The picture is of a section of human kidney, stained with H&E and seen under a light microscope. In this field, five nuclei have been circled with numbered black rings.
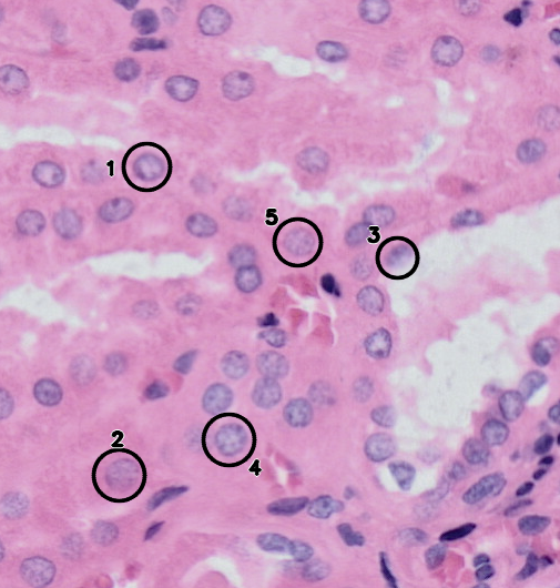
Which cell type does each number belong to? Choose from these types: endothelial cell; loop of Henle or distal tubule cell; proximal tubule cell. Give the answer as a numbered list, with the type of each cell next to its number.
1. proximal tubule cell
2. proximal tubule cell
3. loop of Henle or distal tubule cell
4. loop of Henle or distal tubule cell
5. proximal tubule cell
